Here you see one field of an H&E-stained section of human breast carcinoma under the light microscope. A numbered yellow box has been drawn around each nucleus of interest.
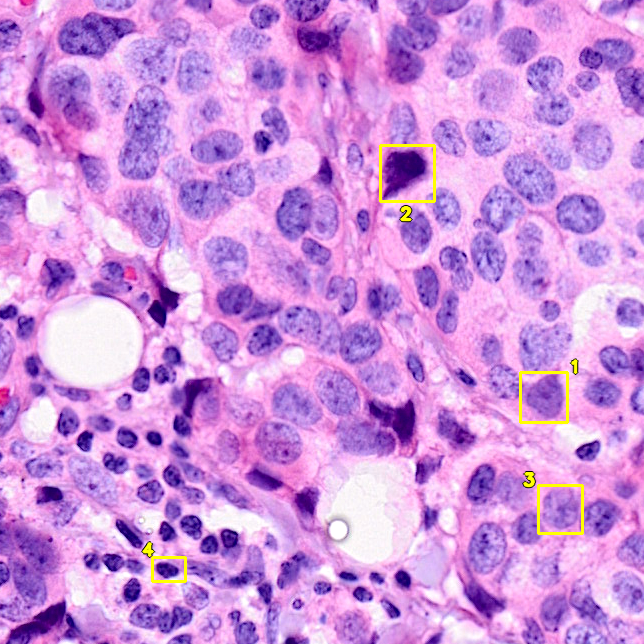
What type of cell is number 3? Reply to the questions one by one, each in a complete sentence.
The cell indicated by marker 3 is a carcinoma cell in this section.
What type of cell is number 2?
Cell 2 in the field of view is a carcinoma cell.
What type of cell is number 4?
In this section, number 4 marks a lymphocyte.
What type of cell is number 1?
The correct label for cell 1 is a carcinoma cell.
